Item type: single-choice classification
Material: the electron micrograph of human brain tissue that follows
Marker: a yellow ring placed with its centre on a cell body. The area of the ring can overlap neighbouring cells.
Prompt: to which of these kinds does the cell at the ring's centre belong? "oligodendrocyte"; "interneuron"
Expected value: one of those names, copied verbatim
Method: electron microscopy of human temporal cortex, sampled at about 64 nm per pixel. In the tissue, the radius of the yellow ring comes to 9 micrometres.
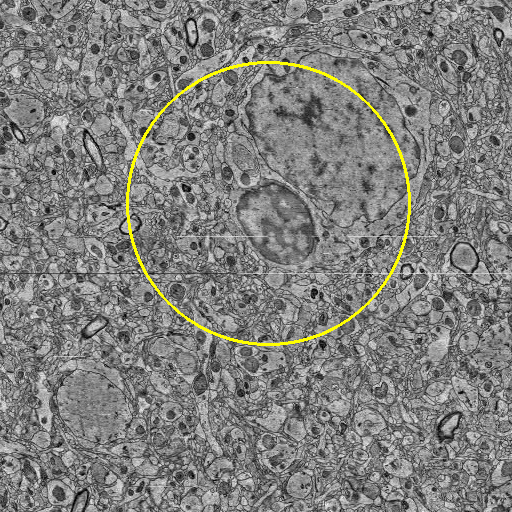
oligodendrocyte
